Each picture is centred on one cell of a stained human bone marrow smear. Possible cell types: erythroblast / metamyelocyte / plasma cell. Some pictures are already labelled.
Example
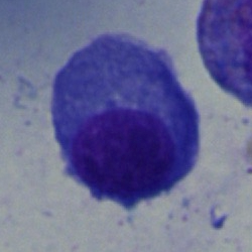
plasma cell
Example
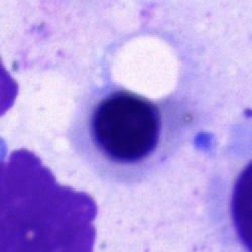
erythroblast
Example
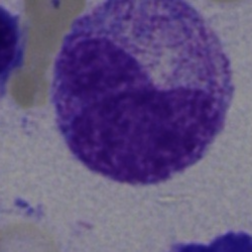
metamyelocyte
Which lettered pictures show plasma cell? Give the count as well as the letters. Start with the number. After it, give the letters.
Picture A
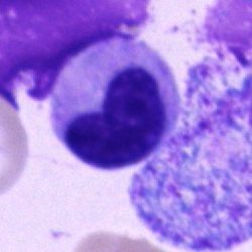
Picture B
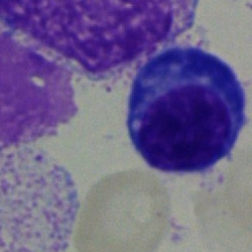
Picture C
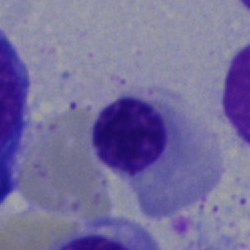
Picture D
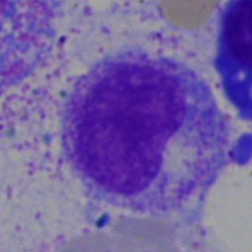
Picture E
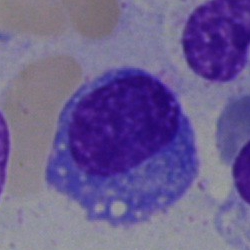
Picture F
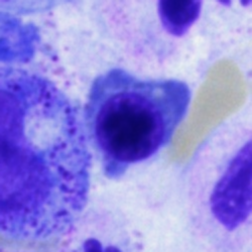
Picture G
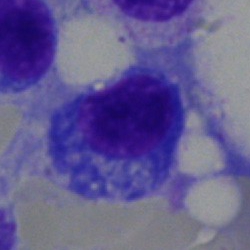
Count: 3 (B, E, G)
